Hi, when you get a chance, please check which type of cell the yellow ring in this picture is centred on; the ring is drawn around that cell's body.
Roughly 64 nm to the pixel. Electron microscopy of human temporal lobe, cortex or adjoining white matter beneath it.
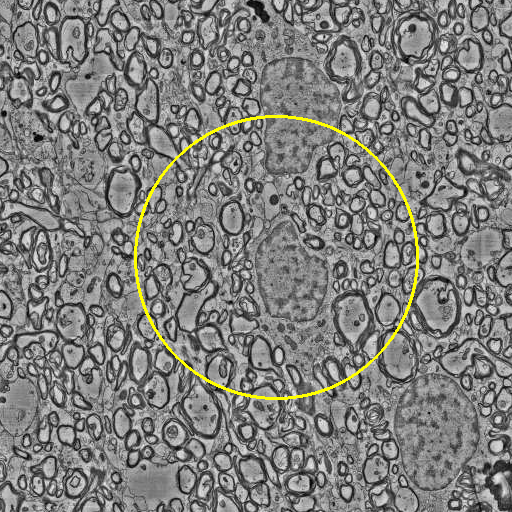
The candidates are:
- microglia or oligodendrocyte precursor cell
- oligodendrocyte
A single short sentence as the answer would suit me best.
The ring is drawn around the body of an oligodendrocyte.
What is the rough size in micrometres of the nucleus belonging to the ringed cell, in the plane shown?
In this plane, about 6 micrometres in length and 4 in width.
